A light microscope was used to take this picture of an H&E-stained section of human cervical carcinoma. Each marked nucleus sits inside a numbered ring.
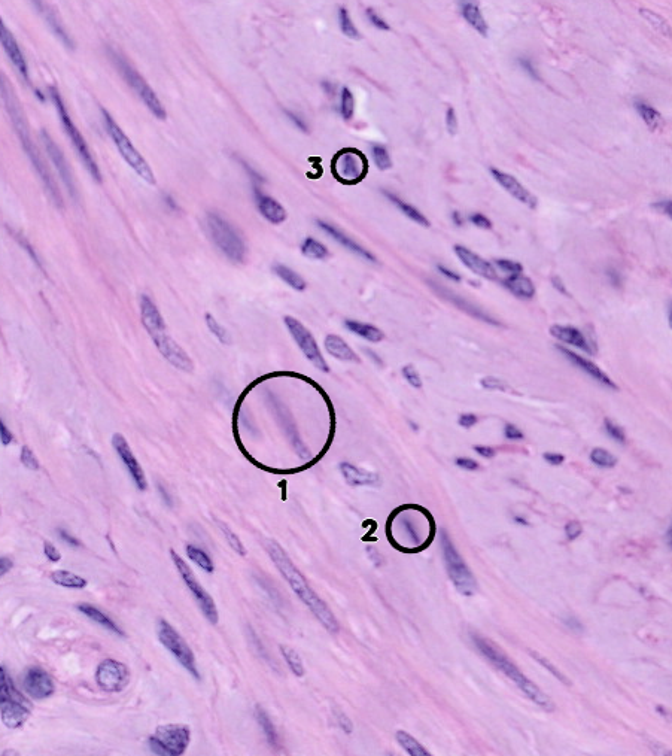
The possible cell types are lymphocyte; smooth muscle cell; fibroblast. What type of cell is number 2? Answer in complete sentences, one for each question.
The cell that goes by number 2 is a fibroblast.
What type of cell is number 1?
The cell that is numbered 1 is a smooth muscle cell.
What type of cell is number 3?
The nucleus labelled 3 belongs to a fibroblast.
